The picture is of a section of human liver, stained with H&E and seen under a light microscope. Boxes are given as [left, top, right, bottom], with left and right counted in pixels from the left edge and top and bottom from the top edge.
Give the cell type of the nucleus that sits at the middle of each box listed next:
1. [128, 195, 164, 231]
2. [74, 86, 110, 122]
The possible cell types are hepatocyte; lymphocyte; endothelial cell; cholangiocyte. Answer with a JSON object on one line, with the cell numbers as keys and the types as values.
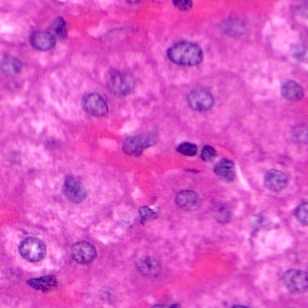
{"1": "endothelial cell", "2": "hepatocyte"}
